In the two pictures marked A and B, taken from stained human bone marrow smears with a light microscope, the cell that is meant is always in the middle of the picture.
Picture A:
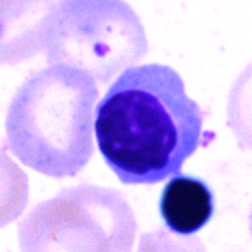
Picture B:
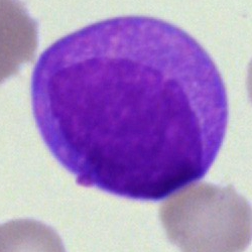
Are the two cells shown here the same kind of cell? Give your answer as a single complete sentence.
No, they differ: the cell is an erythroblast in picture A and a blast in picture B.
